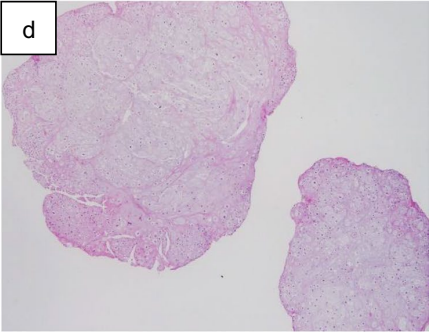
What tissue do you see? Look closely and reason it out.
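Small cells scattered through the matrix. Faint subdivision of the nodules into lobules.
Hyaline cartilage.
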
